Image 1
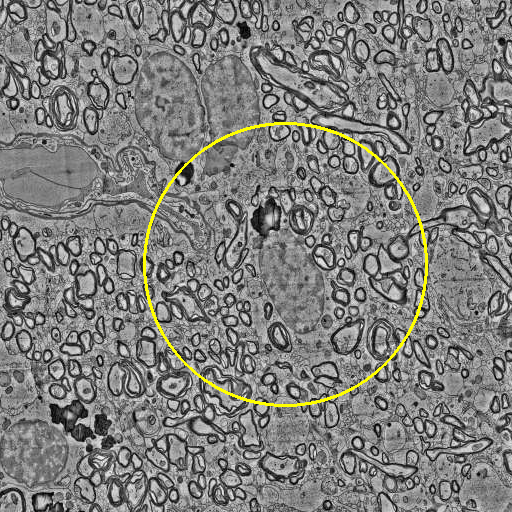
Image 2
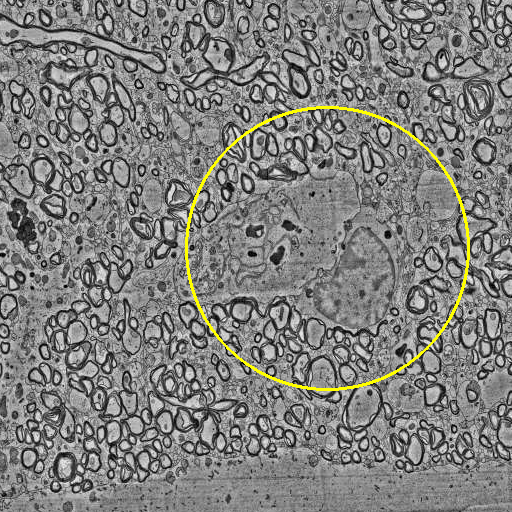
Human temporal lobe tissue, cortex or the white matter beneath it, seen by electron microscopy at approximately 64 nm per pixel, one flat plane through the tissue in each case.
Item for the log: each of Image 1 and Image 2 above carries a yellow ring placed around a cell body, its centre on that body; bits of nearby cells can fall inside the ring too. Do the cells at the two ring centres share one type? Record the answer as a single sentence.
Yes, the two cells at the ring centres in Image 1 and Image 2 share one type.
